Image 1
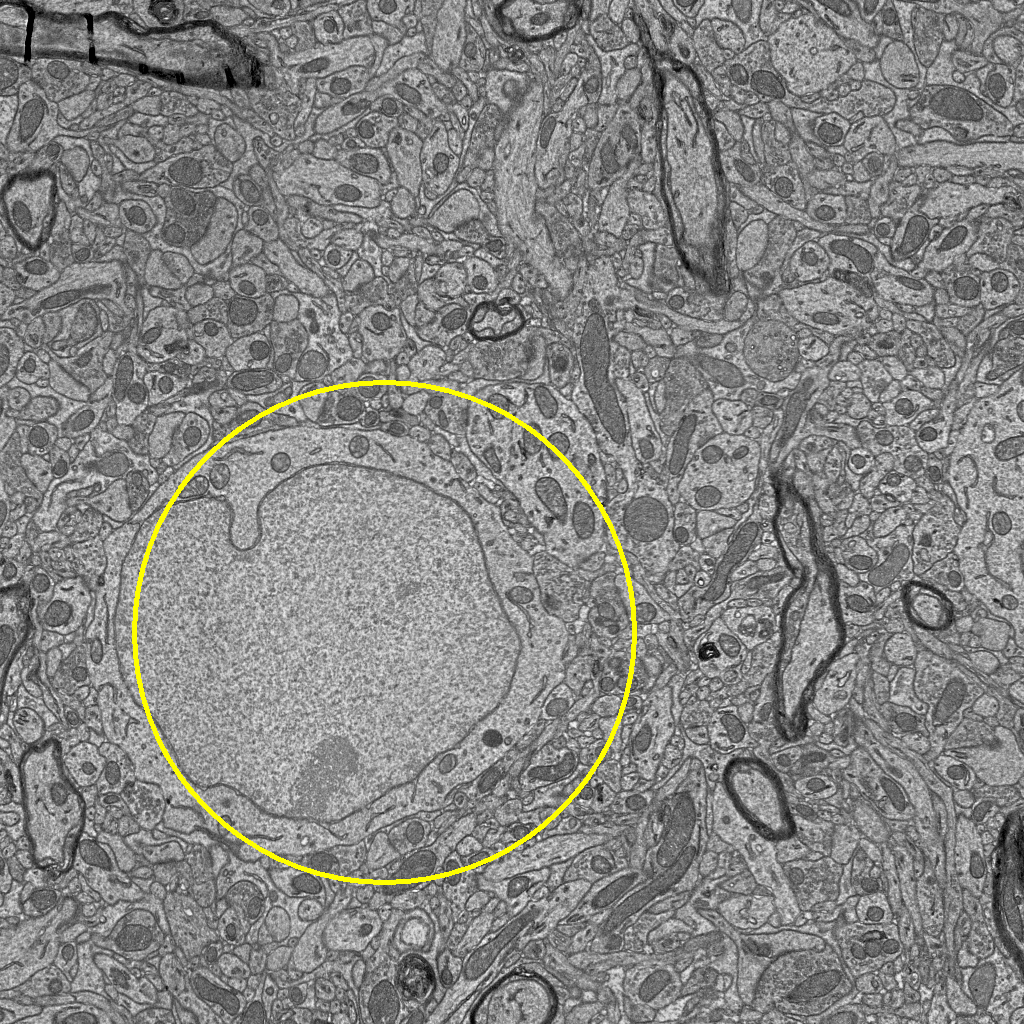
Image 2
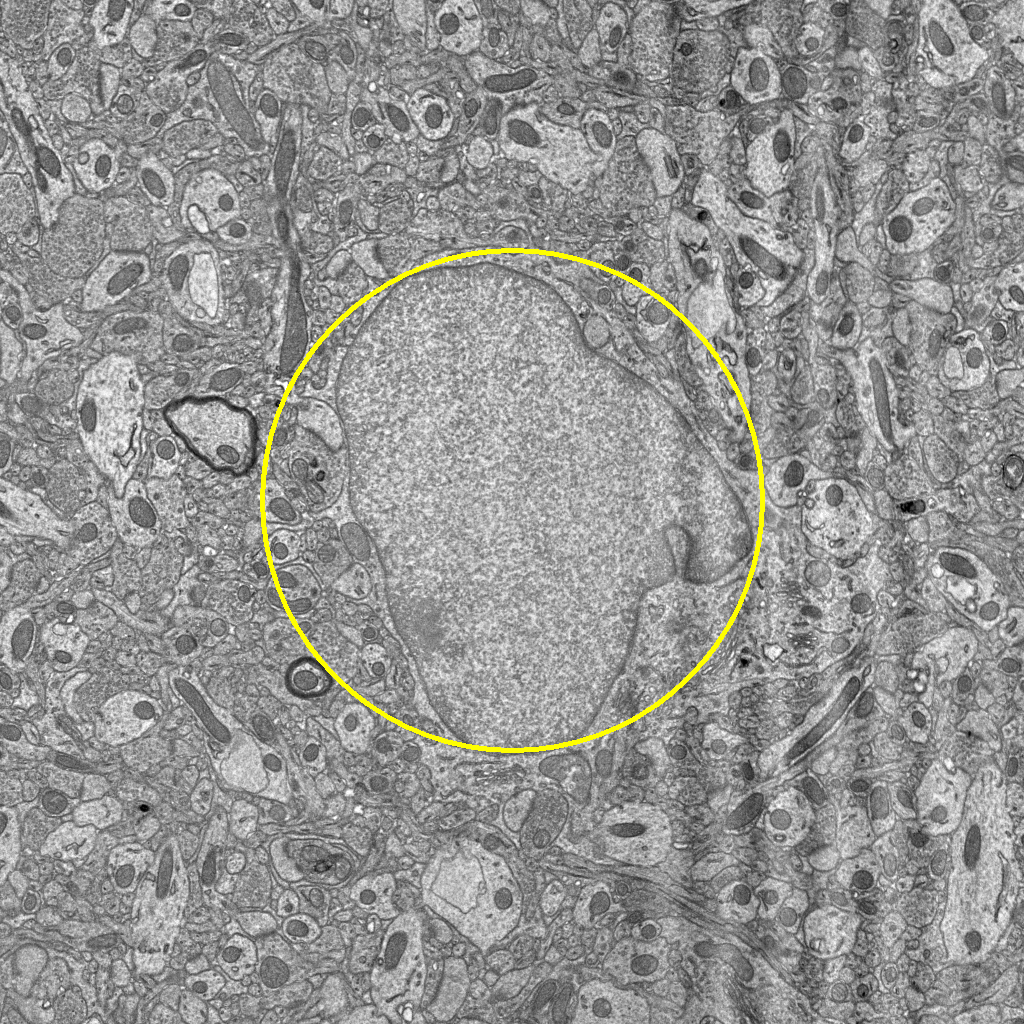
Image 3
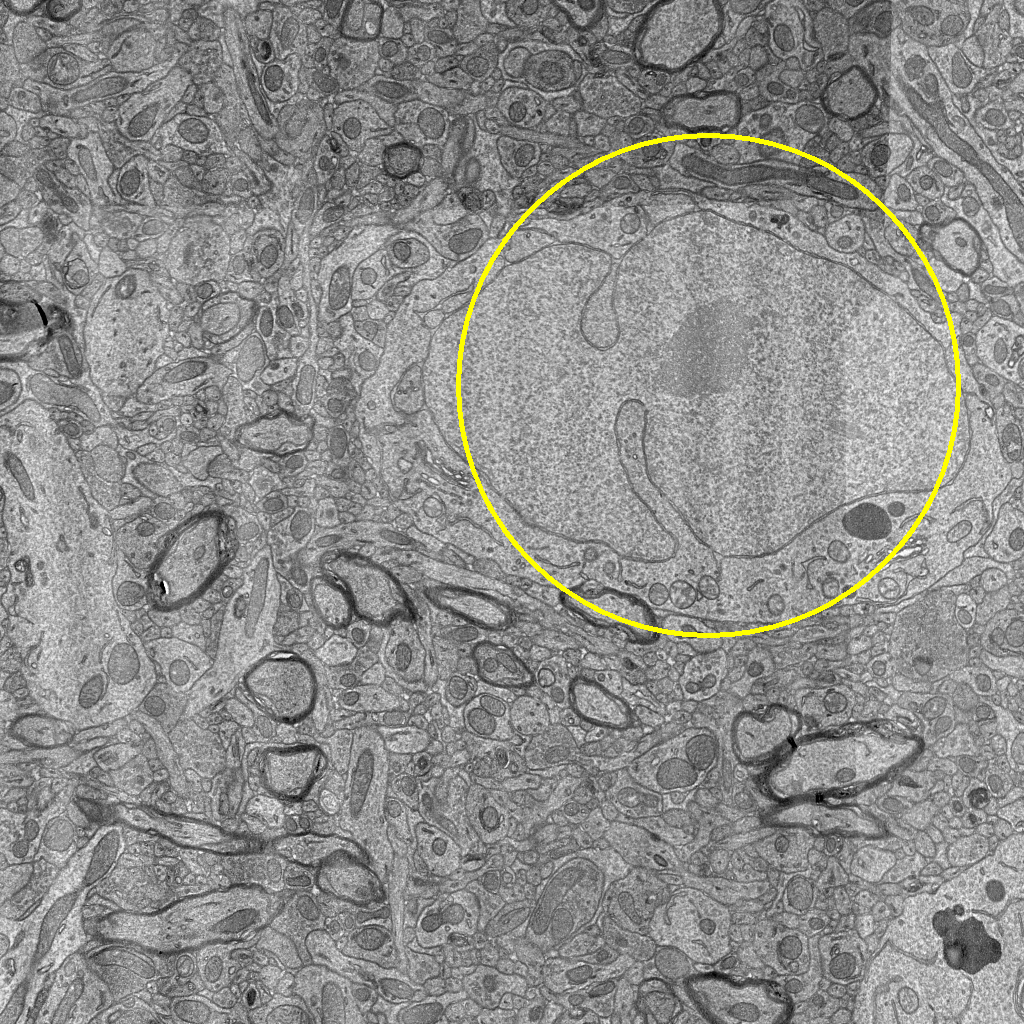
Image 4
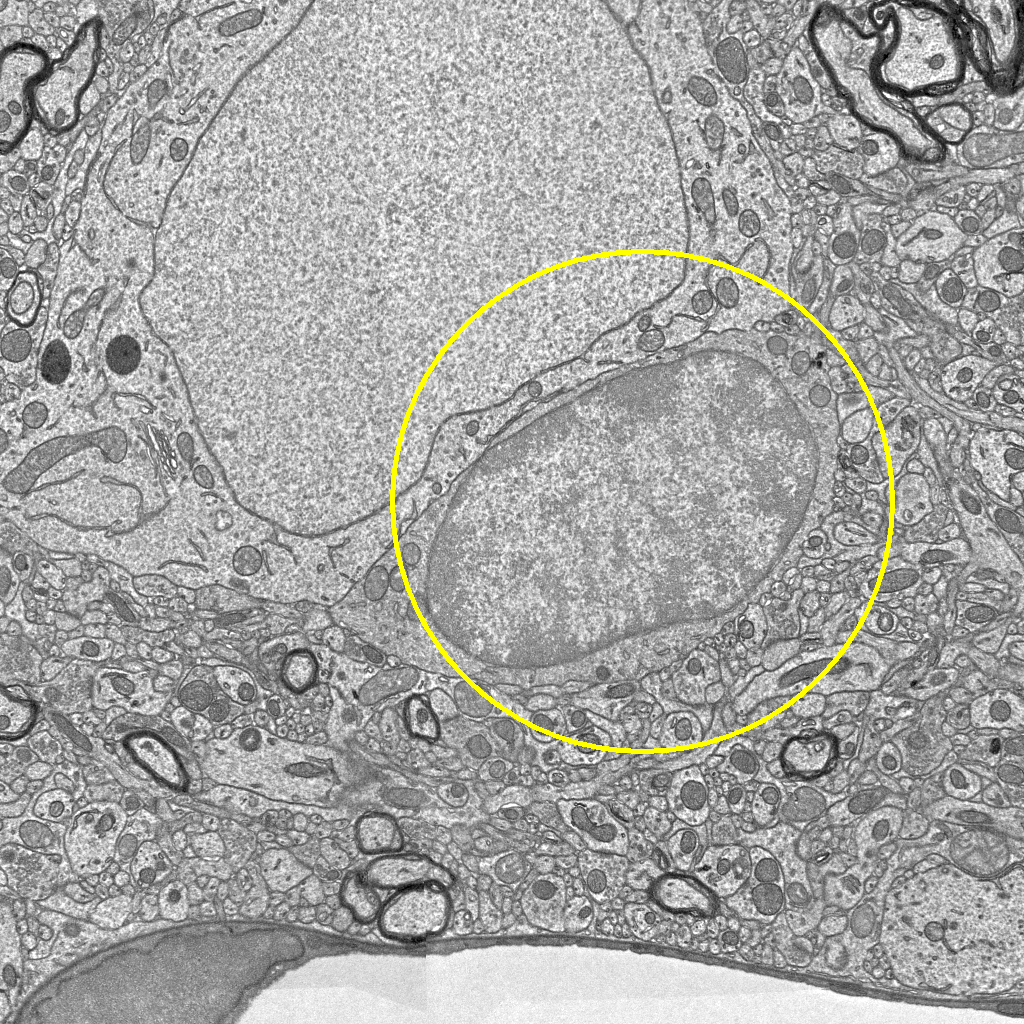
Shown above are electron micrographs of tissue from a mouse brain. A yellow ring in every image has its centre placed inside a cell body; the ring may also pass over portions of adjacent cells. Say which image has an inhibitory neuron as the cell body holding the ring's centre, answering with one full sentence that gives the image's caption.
The image whose ring has its centre inside the requested cell is Image 3.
